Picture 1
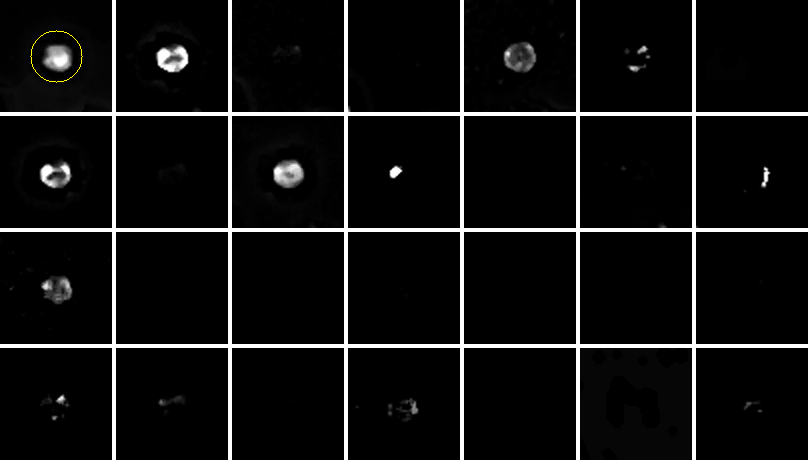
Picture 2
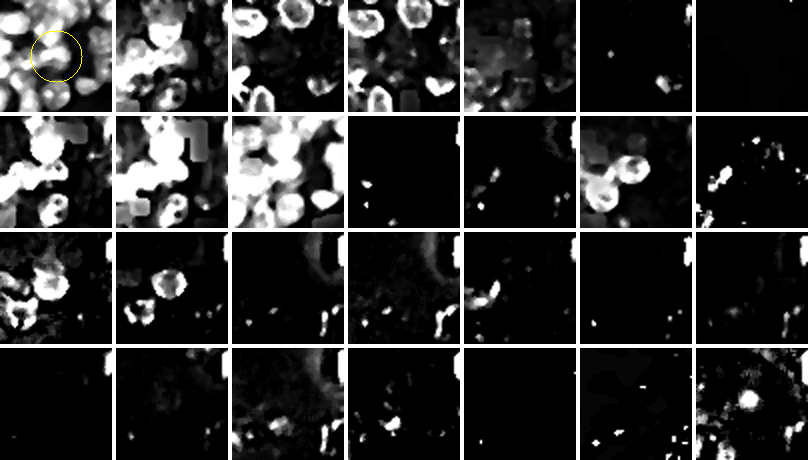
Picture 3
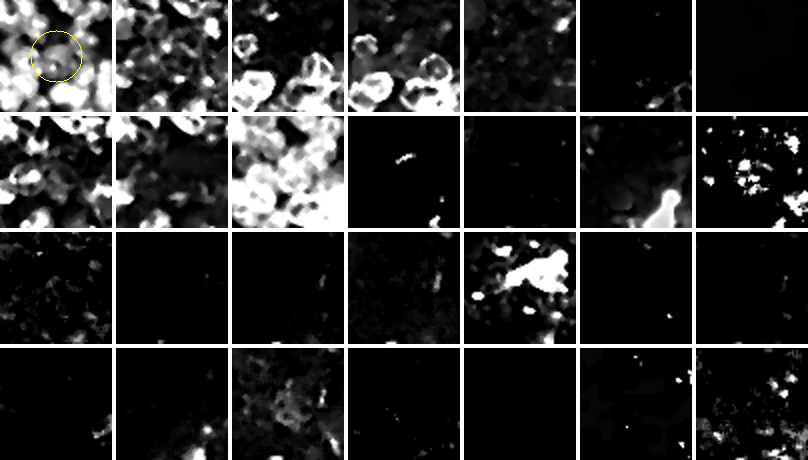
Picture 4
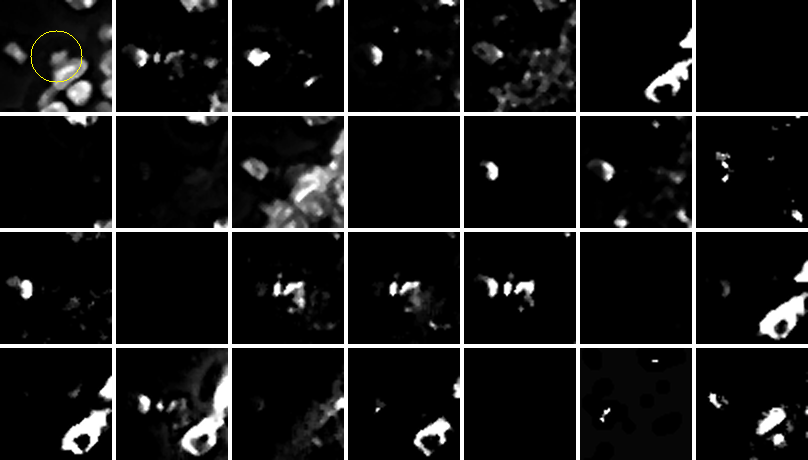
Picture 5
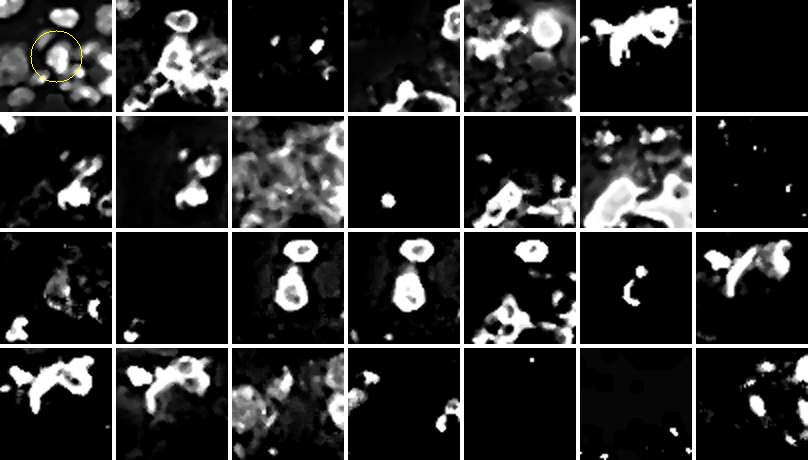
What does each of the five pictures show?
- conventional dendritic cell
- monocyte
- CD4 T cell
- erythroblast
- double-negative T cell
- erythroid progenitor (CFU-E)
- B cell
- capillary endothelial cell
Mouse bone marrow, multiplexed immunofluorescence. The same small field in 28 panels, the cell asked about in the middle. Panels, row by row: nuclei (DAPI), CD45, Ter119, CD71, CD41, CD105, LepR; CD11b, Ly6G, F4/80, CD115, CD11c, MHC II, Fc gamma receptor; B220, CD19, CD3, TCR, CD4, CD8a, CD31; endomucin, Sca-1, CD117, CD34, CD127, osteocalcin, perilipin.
Picture 1: monocyte
Picture 2: B cell
Picture 3: erythroid progenitor (CFU-E)
Picture 4: CD4 T cell
Picture 5: double-negative T cell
